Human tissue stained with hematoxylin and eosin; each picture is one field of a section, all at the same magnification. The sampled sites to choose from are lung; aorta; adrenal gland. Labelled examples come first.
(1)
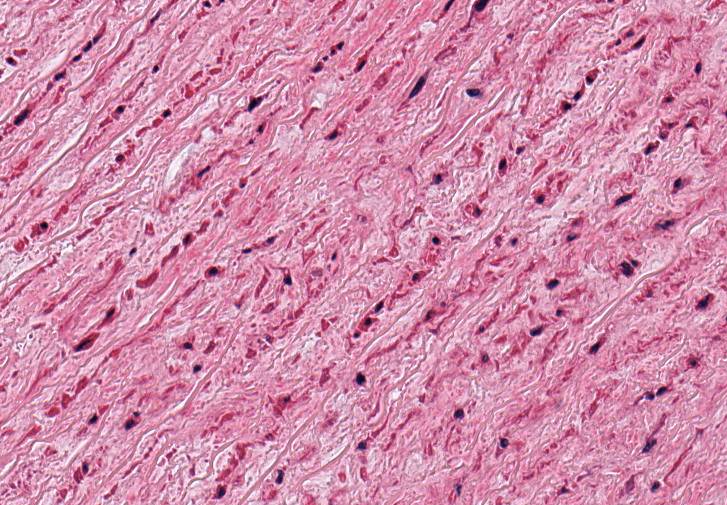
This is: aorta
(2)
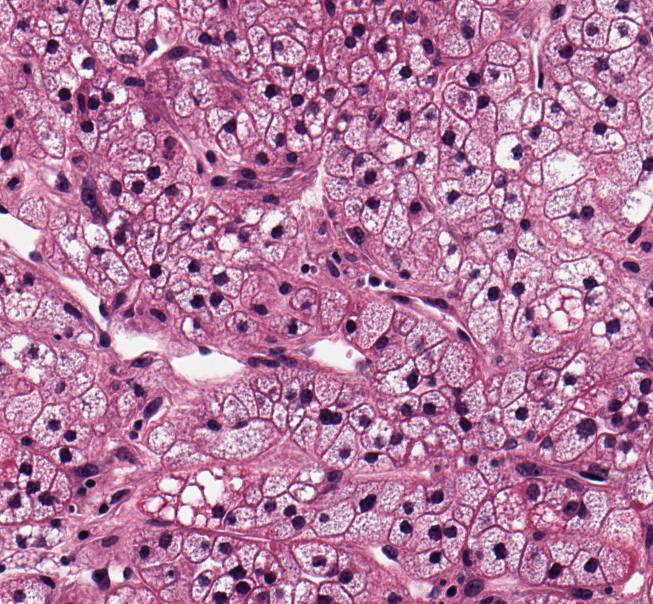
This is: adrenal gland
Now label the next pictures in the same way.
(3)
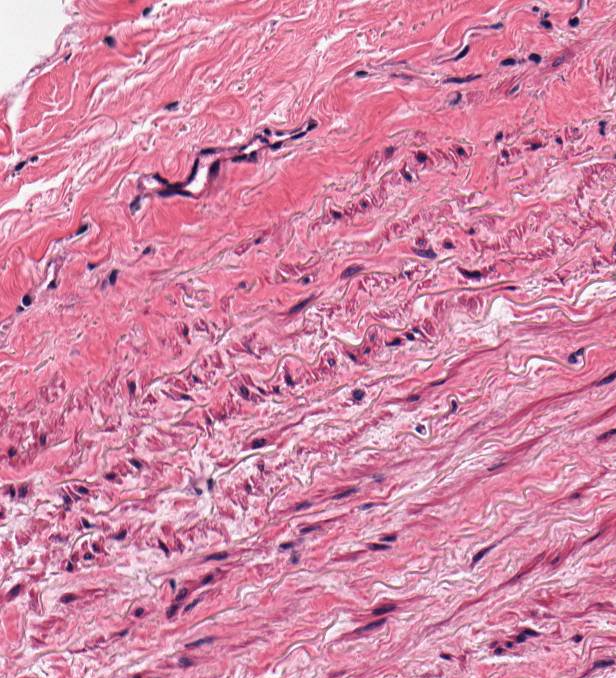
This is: aorta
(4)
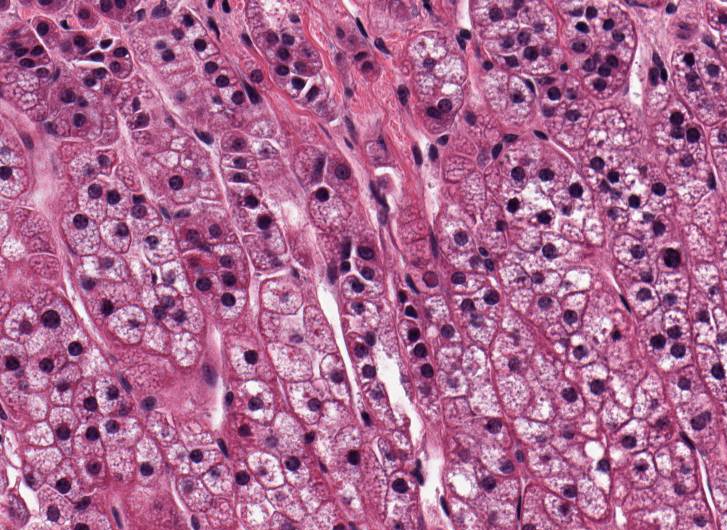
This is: adrenal gland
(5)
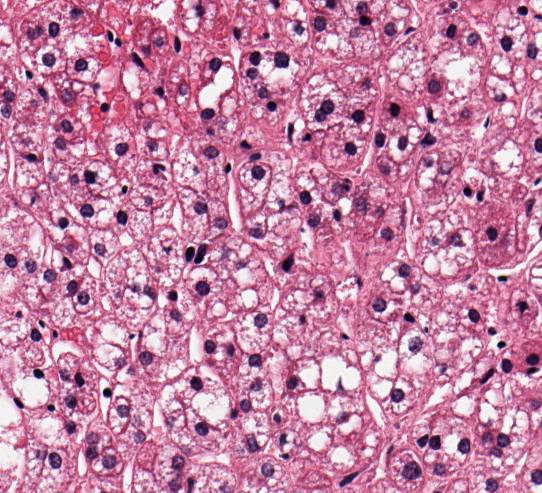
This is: adrenal gland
